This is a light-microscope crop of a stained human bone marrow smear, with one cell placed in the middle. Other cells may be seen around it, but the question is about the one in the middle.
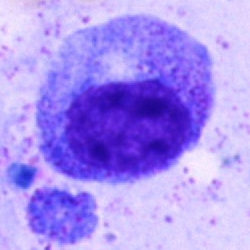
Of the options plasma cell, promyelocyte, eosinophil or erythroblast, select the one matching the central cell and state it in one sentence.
The central cell shown in this smear crop is a promyelocyte.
